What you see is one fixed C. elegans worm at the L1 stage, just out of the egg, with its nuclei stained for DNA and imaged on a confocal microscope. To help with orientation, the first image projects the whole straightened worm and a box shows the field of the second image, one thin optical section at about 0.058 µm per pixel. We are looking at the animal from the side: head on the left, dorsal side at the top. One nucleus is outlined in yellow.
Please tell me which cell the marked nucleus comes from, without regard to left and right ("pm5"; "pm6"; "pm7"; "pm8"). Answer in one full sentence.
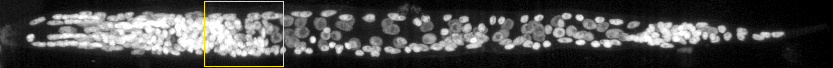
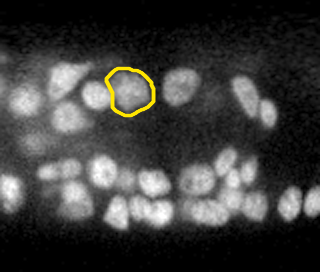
It is the nucleus of pm6, a pharyngeal muscle cell.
